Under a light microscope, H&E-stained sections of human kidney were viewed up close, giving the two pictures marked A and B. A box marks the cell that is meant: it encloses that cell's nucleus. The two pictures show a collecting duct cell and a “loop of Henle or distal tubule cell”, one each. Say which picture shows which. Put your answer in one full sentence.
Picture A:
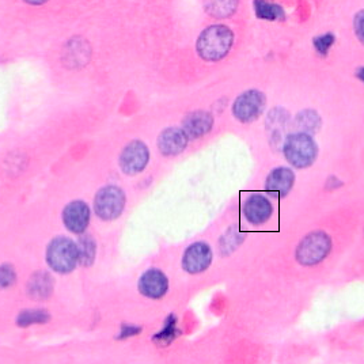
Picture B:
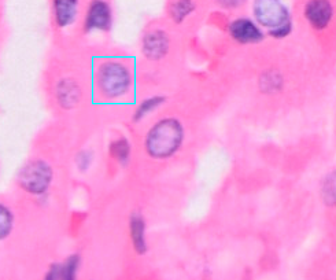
The cell in picture A is a collecting duct cell, and the one in picture B is a “loop of Henle or distal tubule cell”.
